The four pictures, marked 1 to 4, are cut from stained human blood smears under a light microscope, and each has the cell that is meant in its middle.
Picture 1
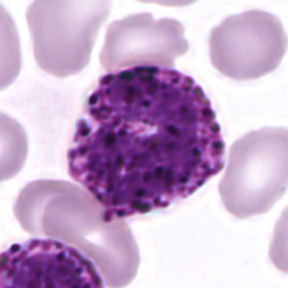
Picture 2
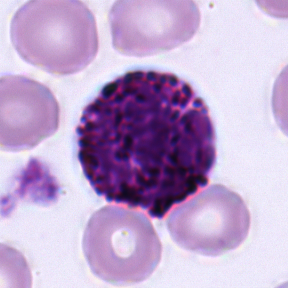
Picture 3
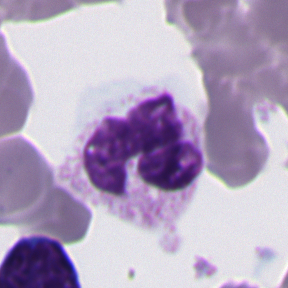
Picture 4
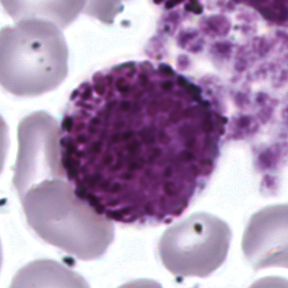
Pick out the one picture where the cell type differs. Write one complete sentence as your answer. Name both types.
Picture 3 is the odd one out: it shows a segmented neutrophil, while the others show basophils.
